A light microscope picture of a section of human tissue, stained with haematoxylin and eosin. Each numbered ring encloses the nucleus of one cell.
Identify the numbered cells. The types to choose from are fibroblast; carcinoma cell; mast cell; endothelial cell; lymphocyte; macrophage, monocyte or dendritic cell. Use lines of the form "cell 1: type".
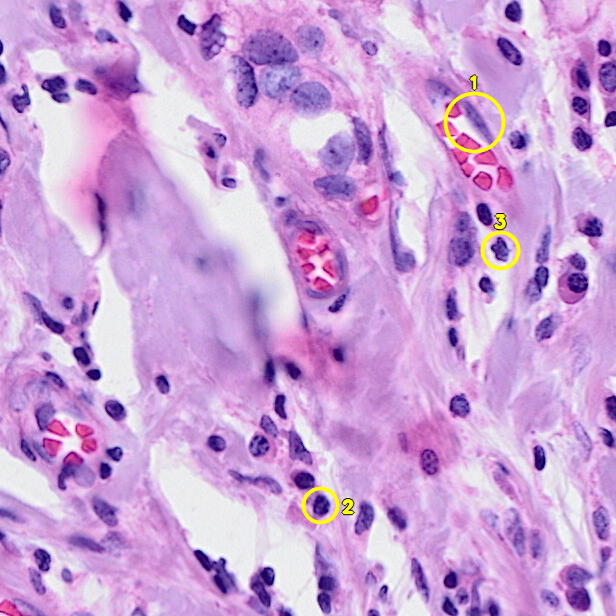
cell 1: endothelial cell
cell 2: lymphocyte
cell 3: lymphocyte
